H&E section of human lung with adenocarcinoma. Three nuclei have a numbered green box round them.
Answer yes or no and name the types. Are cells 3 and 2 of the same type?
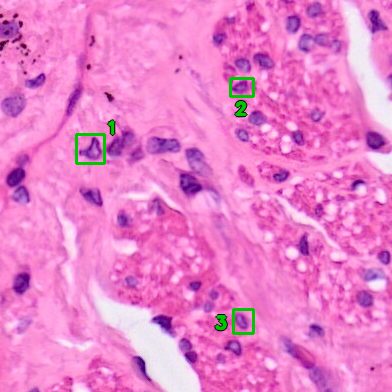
Yes, both cell 3 and cell 2 count among the smooth muscle cells or pericytes.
